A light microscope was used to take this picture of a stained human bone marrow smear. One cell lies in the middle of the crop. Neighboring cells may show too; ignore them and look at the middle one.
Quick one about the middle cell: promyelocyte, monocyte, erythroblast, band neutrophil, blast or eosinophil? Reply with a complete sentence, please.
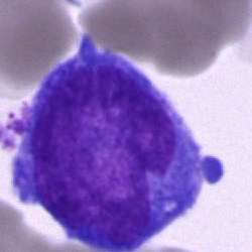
The crop's centre is taken up by a blast.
